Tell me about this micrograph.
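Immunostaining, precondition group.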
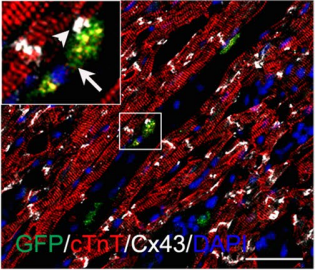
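Cardiac muscle of parallel red, cross-striated cardiomyocytes with blue nuclei. In the enlarged inset a green cell with yellow overlap lies beside a striated fibre with white deposits at their junction.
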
